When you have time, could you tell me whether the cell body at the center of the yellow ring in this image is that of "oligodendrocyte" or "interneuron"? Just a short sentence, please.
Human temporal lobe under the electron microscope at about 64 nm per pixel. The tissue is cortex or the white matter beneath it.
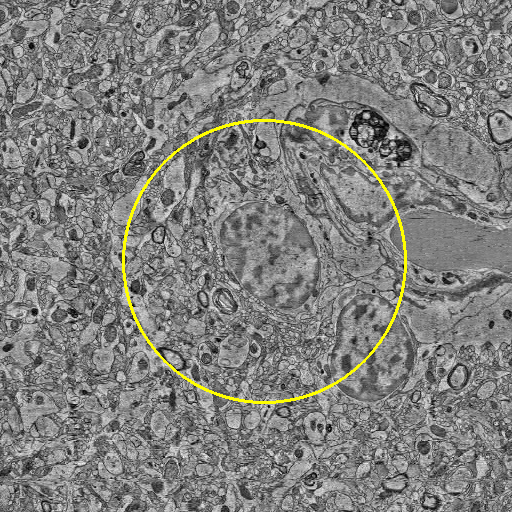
The cell body at the center of the ring is that of an oligodendrocyte.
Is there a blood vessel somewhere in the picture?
Yes, a blood vessel can be seen.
